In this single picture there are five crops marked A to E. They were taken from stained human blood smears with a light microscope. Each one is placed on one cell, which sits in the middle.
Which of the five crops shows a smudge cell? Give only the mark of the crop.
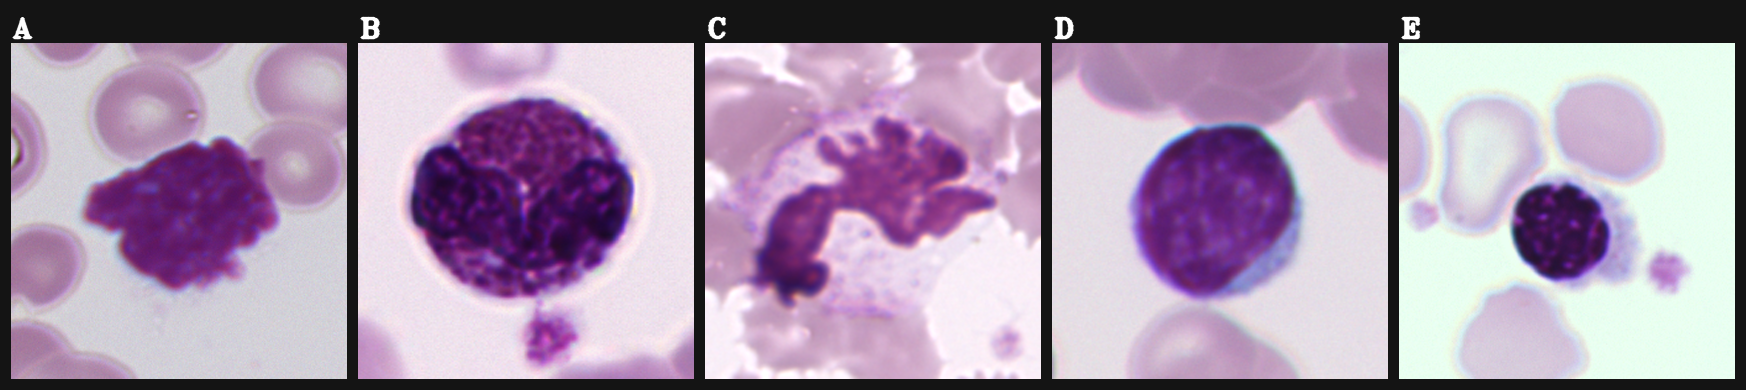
A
